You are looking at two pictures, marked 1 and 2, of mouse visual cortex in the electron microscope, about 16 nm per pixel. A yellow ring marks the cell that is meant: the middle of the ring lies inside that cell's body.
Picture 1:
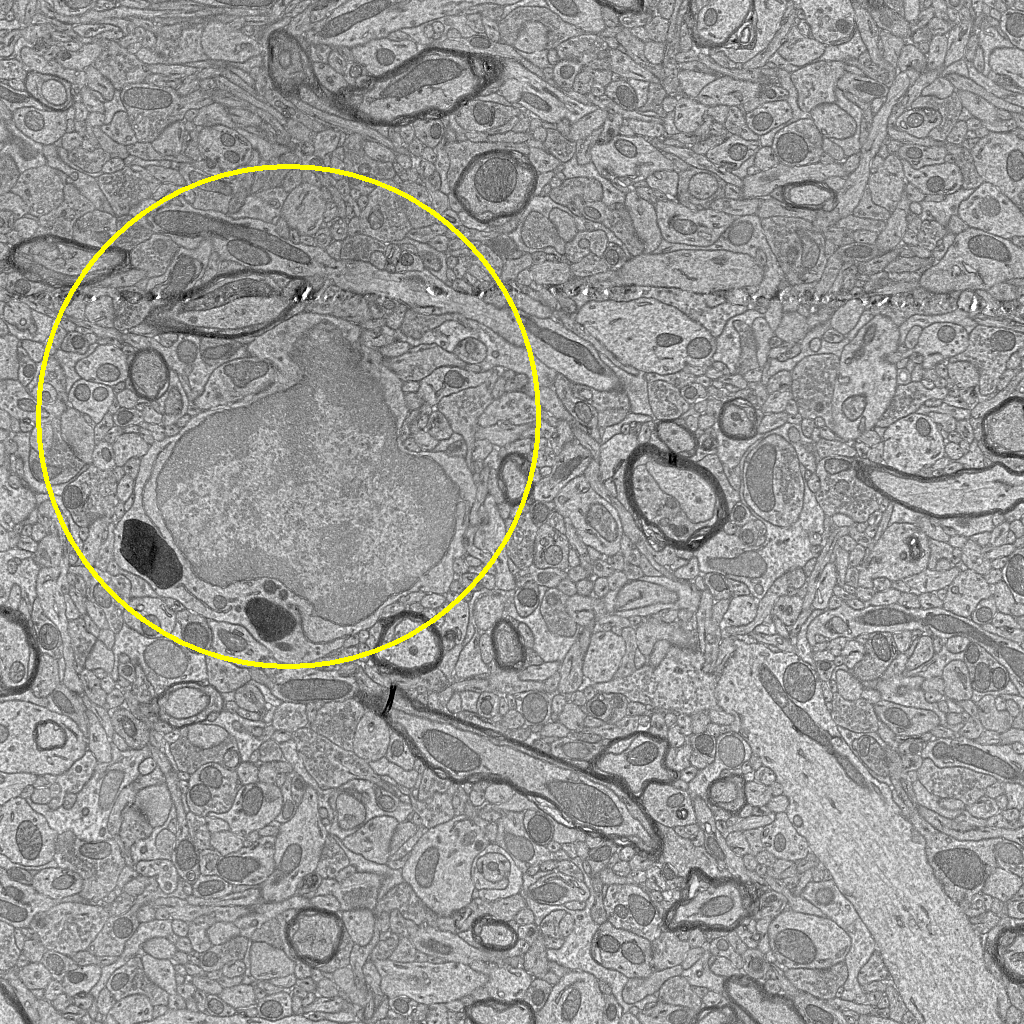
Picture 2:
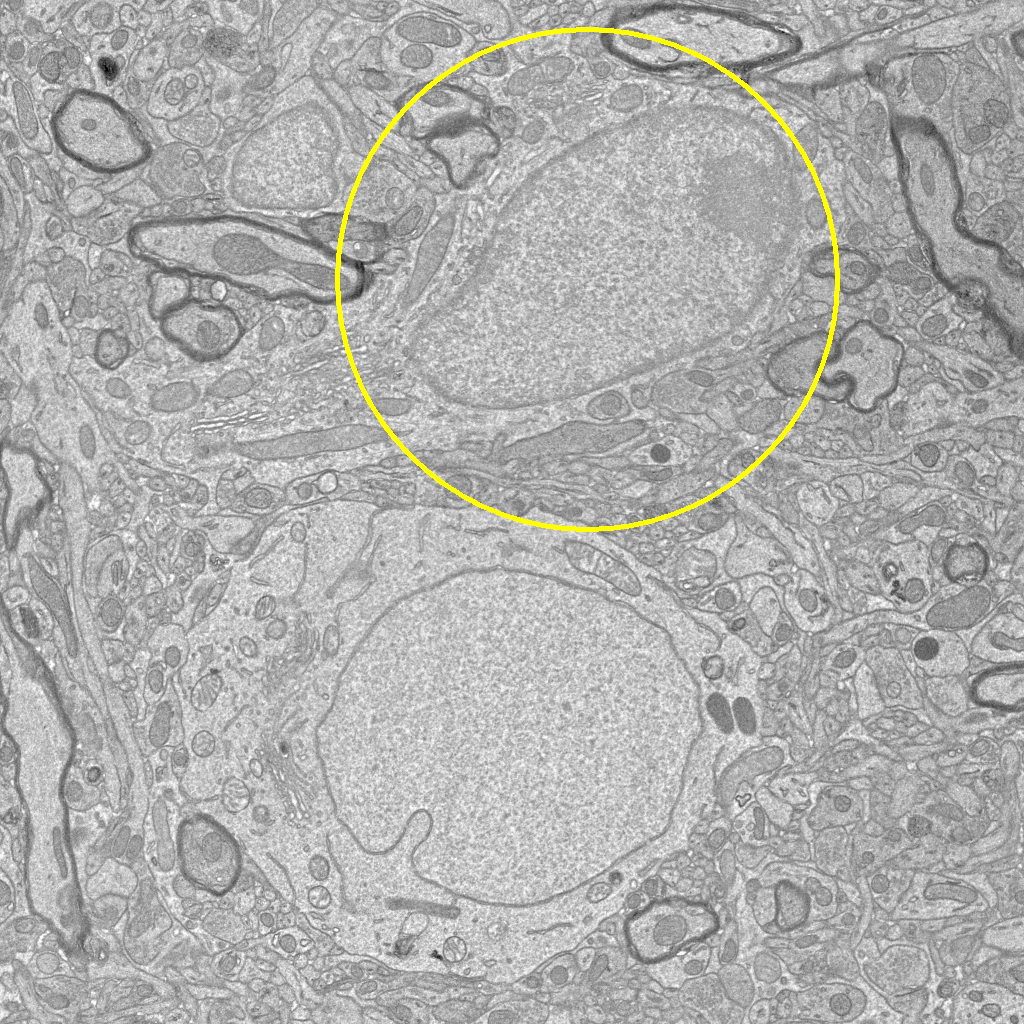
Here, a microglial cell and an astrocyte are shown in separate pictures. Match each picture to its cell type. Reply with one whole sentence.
In picture 1 the cell is a microglial cell; in picture 2, an astrocyte.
